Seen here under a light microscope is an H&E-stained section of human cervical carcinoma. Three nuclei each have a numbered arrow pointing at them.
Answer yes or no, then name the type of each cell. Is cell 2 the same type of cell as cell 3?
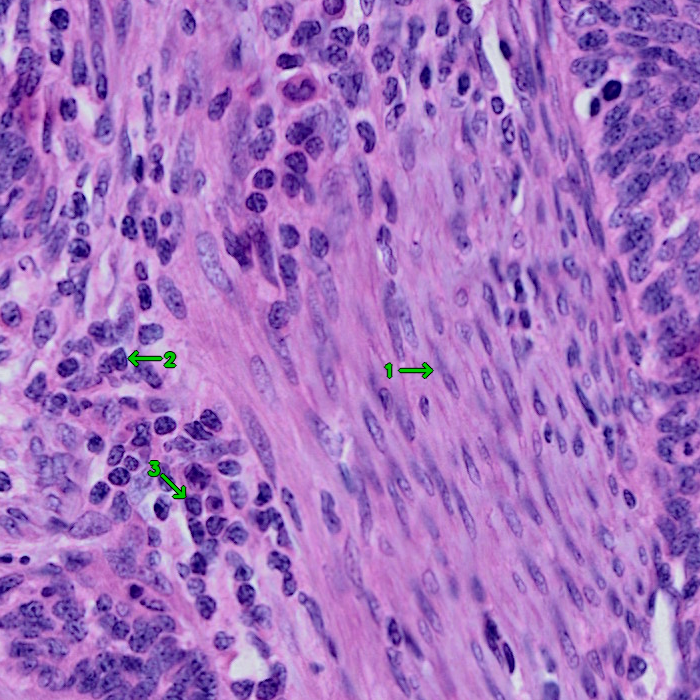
Yes, both are lymphocytes.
